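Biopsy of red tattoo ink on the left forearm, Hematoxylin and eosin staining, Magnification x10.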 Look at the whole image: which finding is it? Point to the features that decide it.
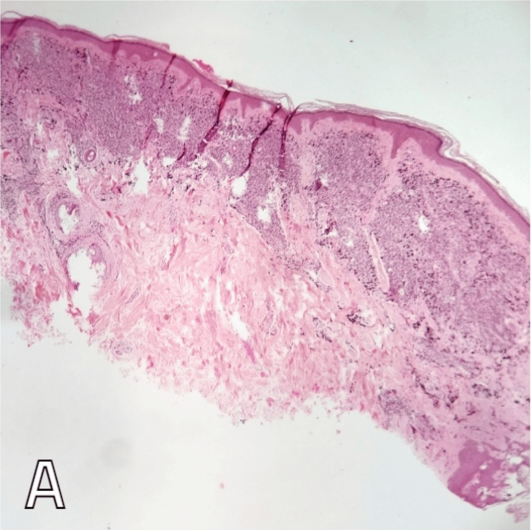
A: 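Dense bluish cellular areas fill the upper dermis beneath the epidermis. That points to this answer: inflammatory infiltrate.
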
